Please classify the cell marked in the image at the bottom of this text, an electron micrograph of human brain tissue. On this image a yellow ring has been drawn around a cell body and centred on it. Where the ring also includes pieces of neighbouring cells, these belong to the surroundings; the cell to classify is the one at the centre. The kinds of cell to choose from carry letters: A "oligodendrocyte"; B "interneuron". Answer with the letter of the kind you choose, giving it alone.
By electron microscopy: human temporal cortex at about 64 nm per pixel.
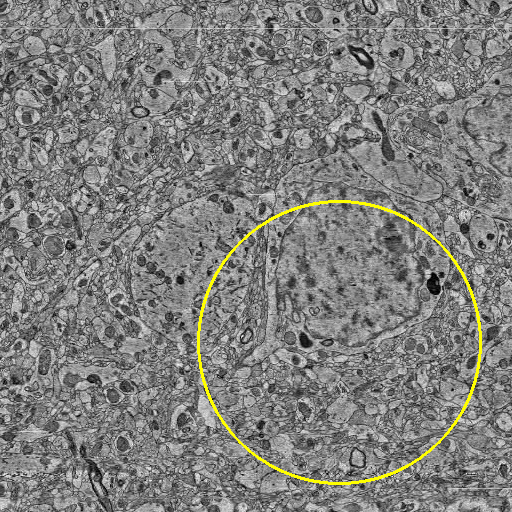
B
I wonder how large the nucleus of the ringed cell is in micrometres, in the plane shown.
In this plane the nucleus measures roughly 10 micrometres across.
